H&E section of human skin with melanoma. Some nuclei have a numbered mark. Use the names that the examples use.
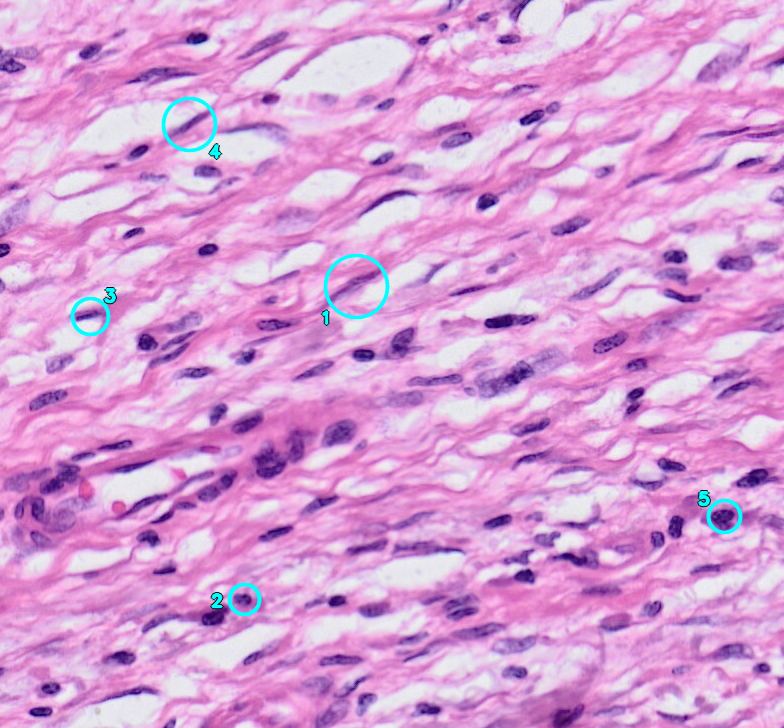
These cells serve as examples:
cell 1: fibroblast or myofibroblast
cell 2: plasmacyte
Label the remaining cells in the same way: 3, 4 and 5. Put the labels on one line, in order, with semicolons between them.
fibroblast or myofibroblast; fibroblast or myofibroblast; plasmacyte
